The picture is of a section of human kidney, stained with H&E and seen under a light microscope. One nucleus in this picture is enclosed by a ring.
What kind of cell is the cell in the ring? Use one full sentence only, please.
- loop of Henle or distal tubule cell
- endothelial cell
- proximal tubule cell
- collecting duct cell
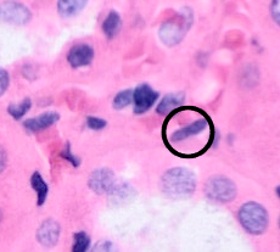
In cellular terms, the cell in the ring is an endothelial cell.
